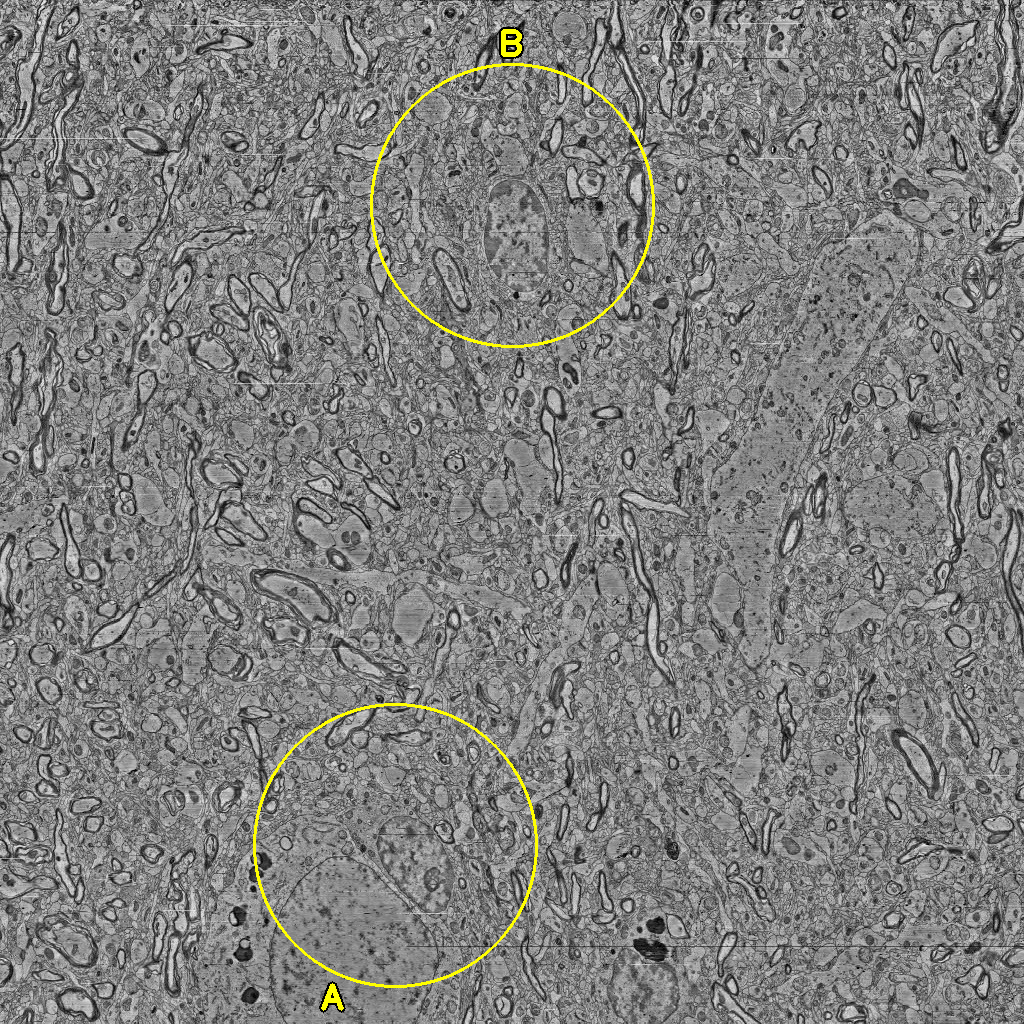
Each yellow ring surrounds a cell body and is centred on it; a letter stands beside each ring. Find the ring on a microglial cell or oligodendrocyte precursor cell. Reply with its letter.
B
